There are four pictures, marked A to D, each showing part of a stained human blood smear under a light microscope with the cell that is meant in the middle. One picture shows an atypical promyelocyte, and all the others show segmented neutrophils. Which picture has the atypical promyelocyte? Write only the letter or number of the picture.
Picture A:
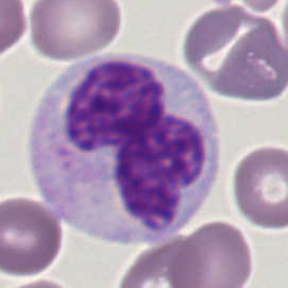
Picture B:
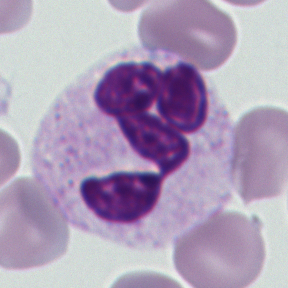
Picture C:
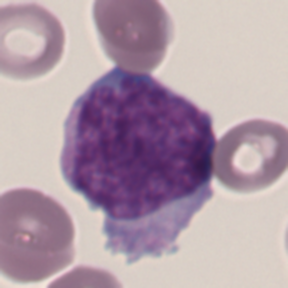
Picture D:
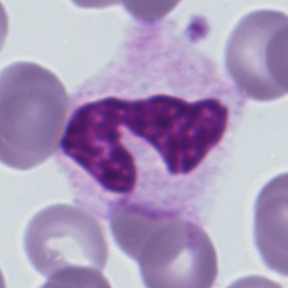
C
